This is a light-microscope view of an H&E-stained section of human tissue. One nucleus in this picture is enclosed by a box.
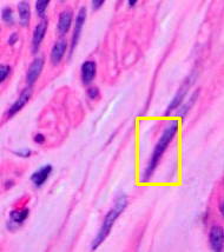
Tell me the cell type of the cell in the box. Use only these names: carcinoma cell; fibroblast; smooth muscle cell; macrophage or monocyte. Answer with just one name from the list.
smooth muscle cell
